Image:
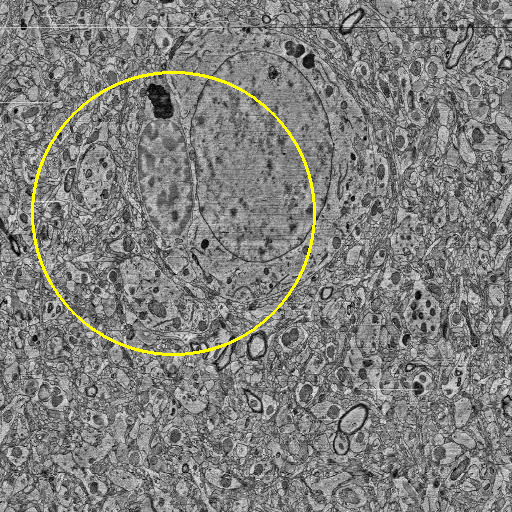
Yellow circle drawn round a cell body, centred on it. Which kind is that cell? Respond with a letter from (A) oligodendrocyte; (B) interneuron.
A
